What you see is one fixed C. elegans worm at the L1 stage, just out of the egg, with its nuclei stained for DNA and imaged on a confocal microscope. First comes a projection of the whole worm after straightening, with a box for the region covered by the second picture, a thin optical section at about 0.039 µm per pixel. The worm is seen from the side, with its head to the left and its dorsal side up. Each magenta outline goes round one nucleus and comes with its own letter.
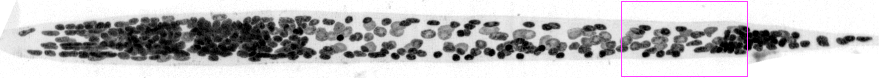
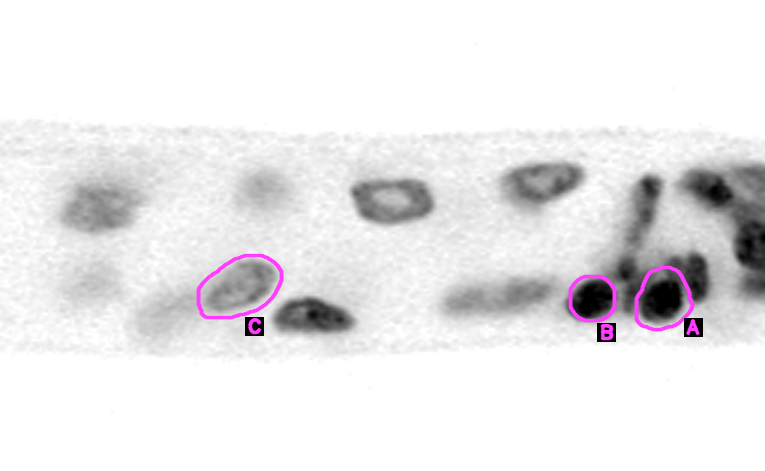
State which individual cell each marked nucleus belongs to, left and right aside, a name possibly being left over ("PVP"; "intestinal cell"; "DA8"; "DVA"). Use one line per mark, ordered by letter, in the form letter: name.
A: DA8
B: PVP
C: intestinal cell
